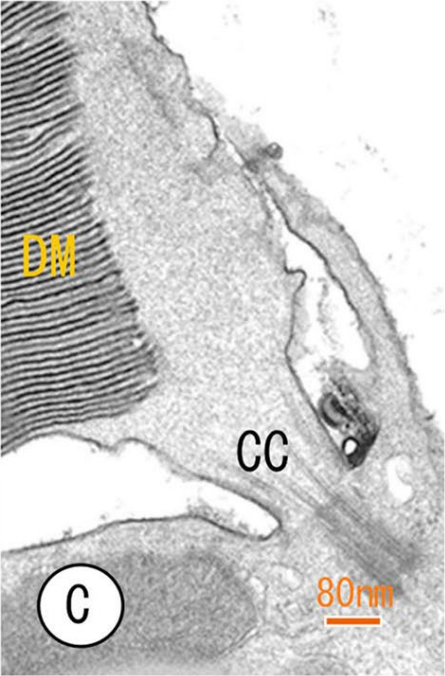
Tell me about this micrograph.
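This thin section cuts through the region where a photoreceptor's outer segment joins its inner segment. On the left, a dense stack of closely packed, parallel dark membranes fills the outer segment. Toward the lower right, a slender connecting cilium runs obliquely, and faint longitudinal lines inside it follow its length. Pale, finely granular cytoplasm lies between the membrane stack and the cilium. The cell is bounded by thin, dark plasma membranes, with empty clefts of extracellular space between neighbouring profiles.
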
